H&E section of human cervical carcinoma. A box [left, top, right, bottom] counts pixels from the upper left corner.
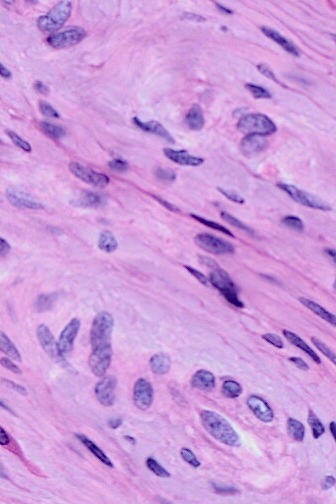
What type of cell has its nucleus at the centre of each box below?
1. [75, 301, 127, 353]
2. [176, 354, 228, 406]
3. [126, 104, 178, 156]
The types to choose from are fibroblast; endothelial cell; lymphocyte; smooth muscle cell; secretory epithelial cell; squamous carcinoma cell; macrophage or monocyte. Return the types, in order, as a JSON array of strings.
["fibroblast", "smooth muscle cell", "fibroblast"]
